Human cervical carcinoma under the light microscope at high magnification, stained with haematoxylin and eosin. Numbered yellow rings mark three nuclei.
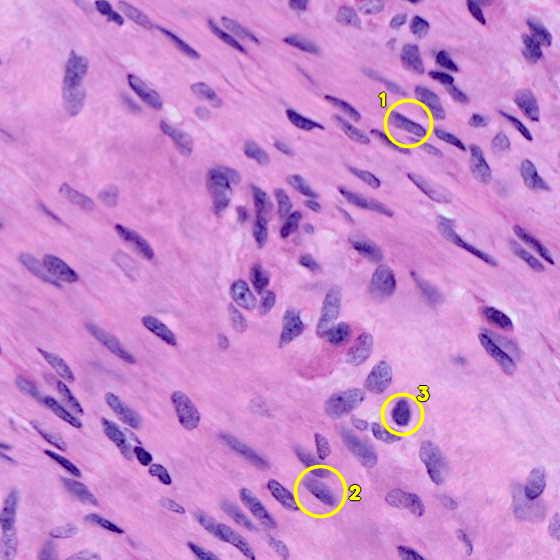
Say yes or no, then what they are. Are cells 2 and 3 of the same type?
No, cell 3 is a lymphocyte, whereas cell 2 is a fibroblast.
